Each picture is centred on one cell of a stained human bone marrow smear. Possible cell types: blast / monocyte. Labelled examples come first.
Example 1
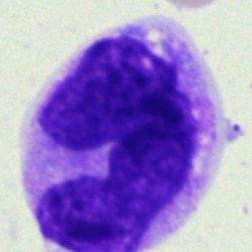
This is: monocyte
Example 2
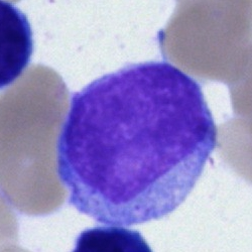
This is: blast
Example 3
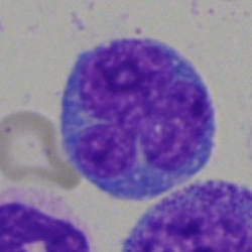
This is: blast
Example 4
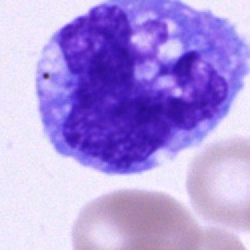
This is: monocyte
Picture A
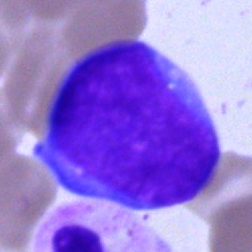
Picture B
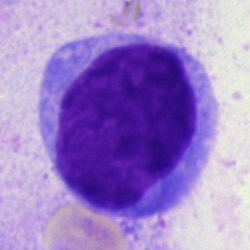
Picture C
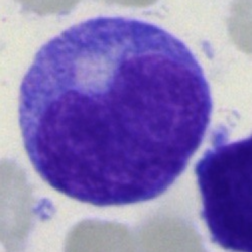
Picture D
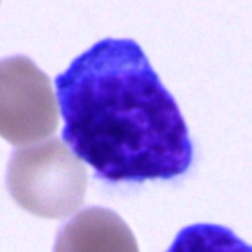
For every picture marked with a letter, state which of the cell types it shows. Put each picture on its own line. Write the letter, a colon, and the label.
A: blast
B: blast
C: blast
D: blast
